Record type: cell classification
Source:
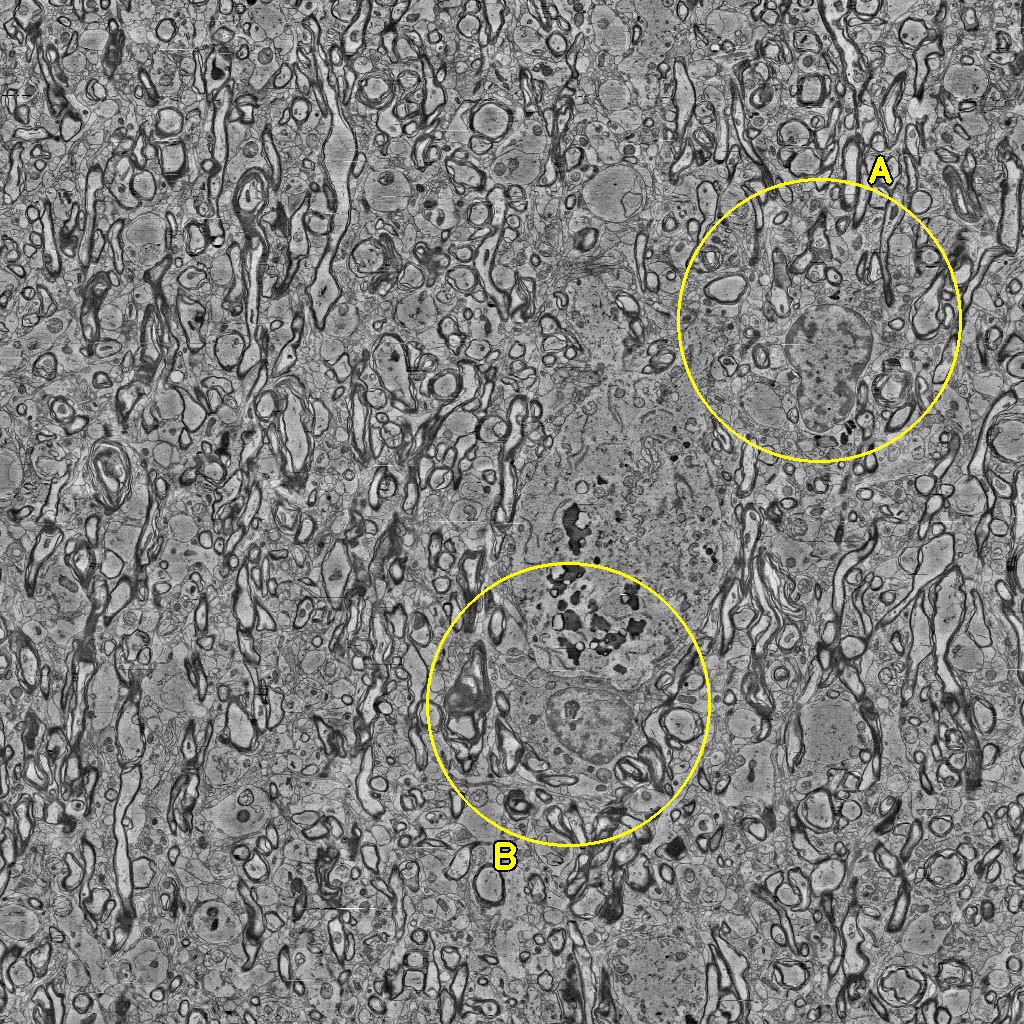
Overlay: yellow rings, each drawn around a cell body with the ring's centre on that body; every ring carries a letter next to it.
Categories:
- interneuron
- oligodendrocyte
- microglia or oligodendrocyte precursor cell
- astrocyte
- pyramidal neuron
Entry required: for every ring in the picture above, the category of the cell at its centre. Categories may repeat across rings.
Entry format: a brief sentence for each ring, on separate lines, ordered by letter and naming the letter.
At the centre of ring A lies a microglial cell or oligodendrocyte precursor cell.
At the centre of ring B lies an oligodendrocyte.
